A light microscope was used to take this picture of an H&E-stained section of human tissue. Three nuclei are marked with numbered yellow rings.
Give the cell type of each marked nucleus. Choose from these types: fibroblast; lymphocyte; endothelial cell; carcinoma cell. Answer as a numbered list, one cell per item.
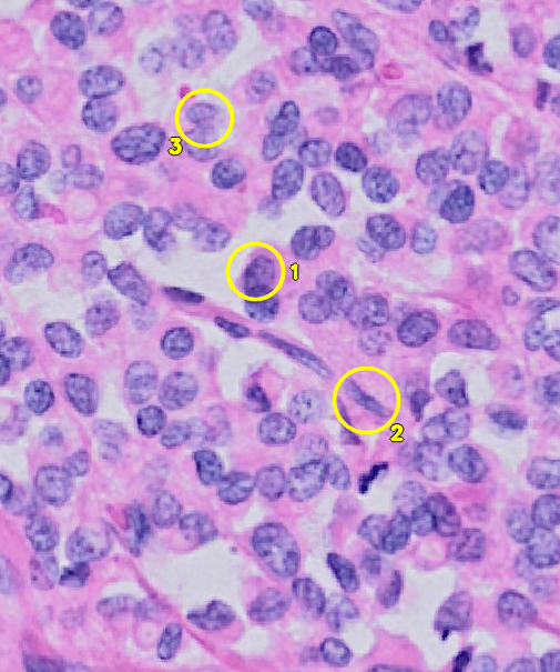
1. carcinoma cell
2. endothelial cell
3. carcinoma cell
